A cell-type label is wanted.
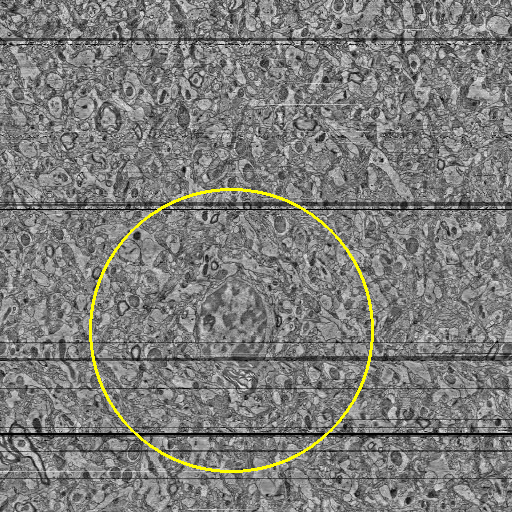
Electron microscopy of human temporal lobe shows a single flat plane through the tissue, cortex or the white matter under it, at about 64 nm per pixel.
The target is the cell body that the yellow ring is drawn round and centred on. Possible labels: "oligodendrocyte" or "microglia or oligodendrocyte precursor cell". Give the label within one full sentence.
Of the labels offered, the cell in the middle of the yellow ring is an oligodendrocyte.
